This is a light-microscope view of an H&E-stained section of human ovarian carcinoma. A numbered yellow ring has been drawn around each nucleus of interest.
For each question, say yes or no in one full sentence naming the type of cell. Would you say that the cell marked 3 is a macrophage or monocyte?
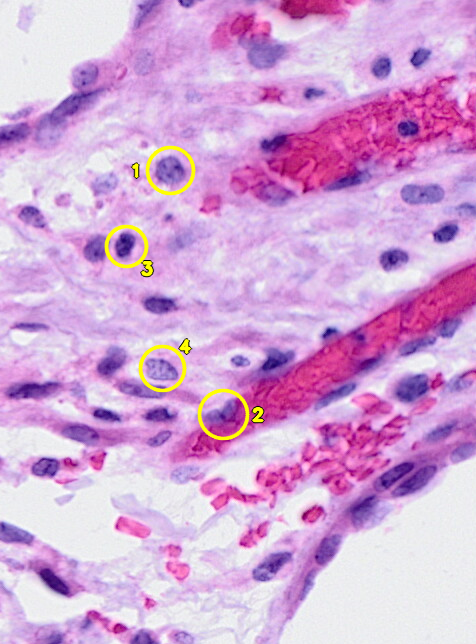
No, cell number 3 is identified as a lymphocyte, not as a macrophage or monocyte.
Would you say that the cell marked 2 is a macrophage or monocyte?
No, the nucleus numbered 2 belongs to an endothelial cell, not a macrophage or monocyte.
